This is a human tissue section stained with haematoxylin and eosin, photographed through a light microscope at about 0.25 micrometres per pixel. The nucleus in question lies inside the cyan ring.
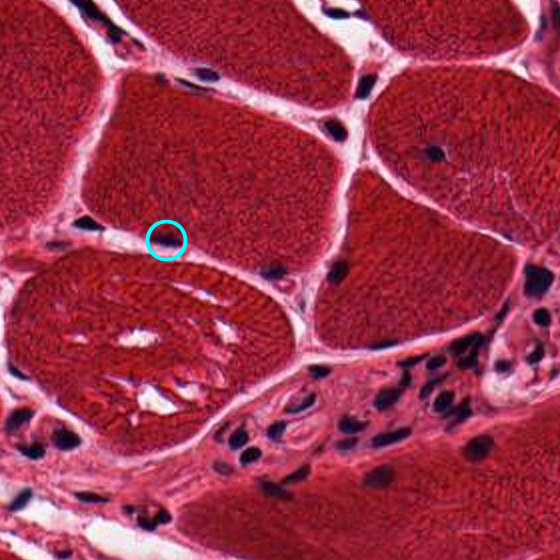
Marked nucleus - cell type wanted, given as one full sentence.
On this slide, the marked nucleus belongs to a skeletal muscle fibre.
